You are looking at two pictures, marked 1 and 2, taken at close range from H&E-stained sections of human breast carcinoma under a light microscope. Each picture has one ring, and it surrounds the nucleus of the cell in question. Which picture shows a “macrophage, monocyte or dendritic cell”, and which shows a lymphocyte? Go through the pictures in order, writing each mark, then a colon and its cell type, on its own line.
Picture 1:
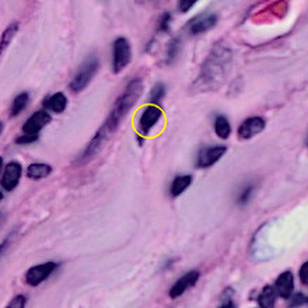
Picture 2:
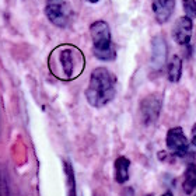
1: lymphocyte
2: macrophage, monocyte or dendritic cell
